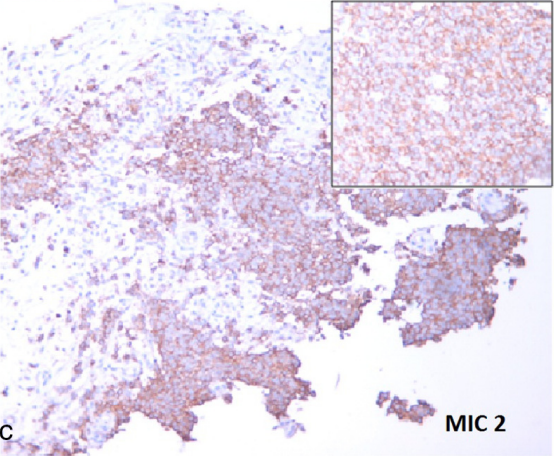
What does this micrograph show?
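Sheets of small round tumour cells are stained brown, while the surrounding loose stroma is pale blue. At high power in the box the brown stain outlines the membranes of individual cells, giving a net-like pattern around blue nuclei.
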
